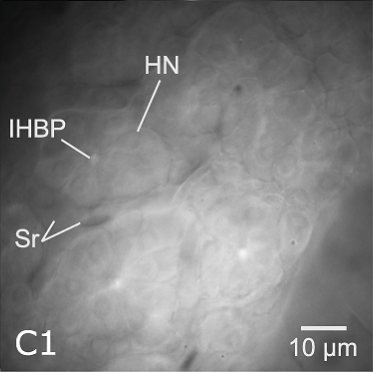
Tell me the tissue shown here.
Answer: hepatic parenchyma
